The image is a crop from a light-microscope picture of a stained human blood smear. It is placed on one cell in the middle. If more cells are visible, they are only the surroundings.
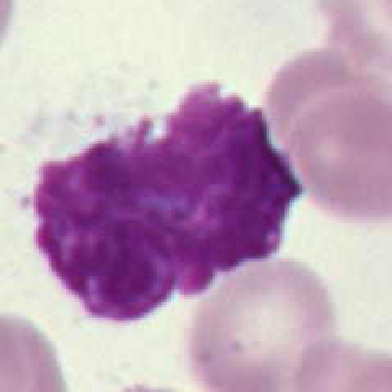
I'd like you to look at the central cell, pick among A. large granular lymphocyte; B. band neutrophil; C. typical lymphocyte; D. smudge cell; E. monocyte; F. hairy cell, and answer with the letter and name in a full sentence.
Identified correctly by option D, the cell in the middle is a smudge cell.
